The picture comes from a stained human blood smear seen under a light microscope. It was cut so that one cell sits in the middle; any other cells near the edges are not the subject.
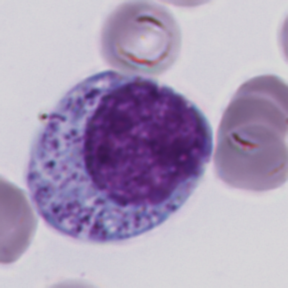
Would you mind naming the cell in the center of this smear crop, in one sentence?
The identification for the central cell is a myelocyte.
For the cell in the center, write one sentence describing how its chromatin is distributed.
Coarse clumps are absent, and the chromatin is fine throughout.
